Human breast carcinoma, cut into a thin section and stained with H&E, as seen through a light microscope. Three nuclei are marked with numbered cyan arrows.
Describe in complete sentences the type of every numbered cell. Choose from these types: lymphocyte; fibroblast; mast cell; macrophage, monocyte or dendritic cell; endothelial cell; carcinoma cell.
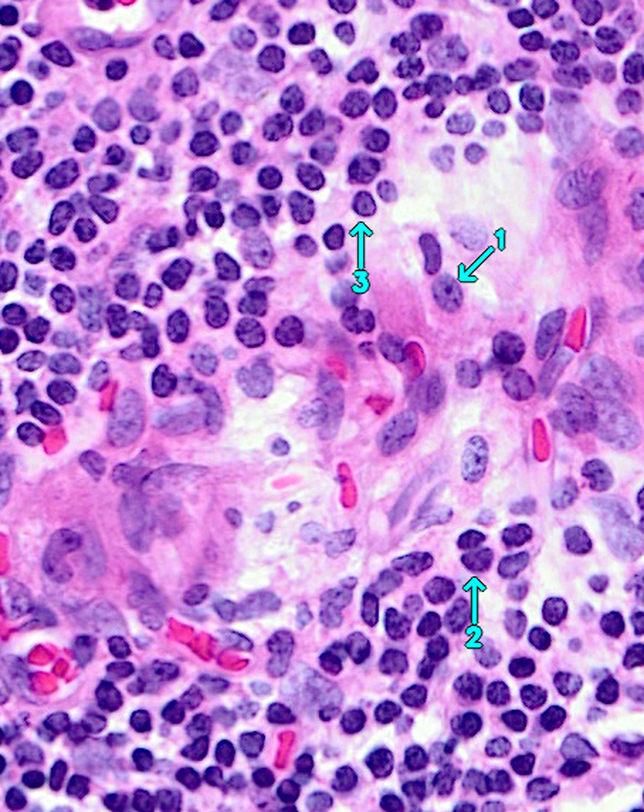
Cell 1 is a mast cell. Cells 2 and 3 are lymphocytes.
